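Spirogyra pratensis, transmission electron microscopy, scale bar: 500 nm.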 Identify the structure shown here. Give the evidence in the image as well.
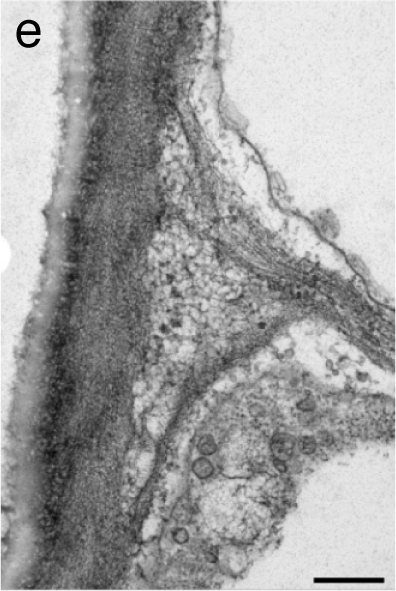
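A thick dense wall band runs along one side of the panel. A thinner wall meets this band from the side, with cytoplasm on both sides of it. The answer: connection of cross wall to external cell wall.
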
